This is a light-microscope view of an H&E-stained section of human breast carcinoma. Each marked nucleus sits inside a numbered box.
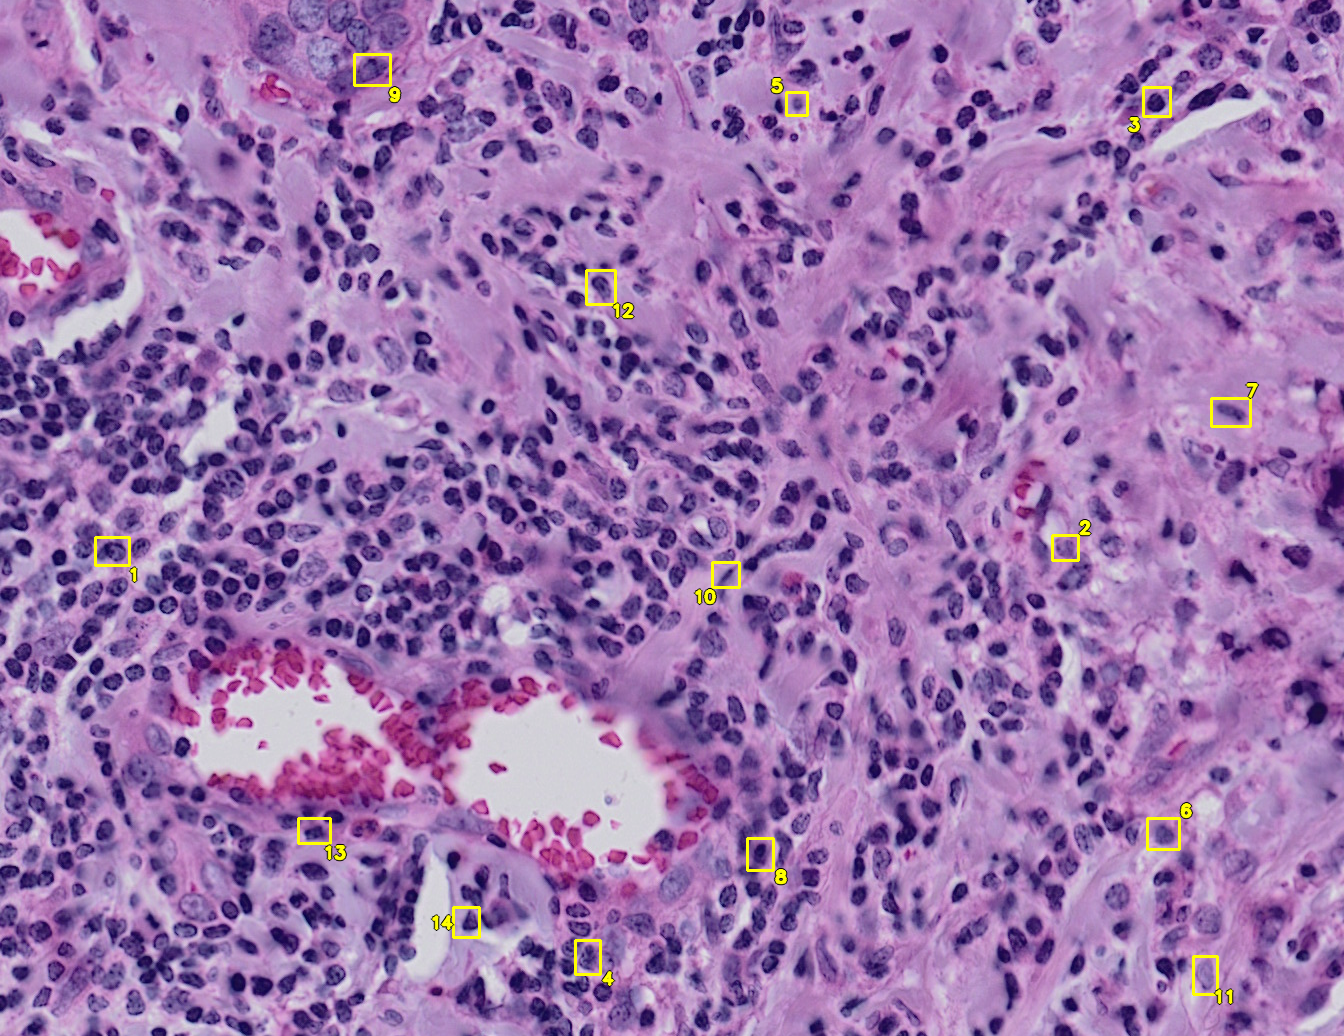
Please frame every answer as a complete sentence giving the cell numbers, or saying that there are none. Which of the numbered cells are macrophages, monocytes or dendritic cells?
Cell 11 is a macrophage, monocyte or dendritic cell, and it is the only numbered cell that is.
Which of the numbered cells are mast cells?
Cells 2, 5, 6 and 7 are classified as mast cells.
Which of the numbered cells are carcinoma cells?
Among the numbered cells, cell 9 alone is a carcinoma cell.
